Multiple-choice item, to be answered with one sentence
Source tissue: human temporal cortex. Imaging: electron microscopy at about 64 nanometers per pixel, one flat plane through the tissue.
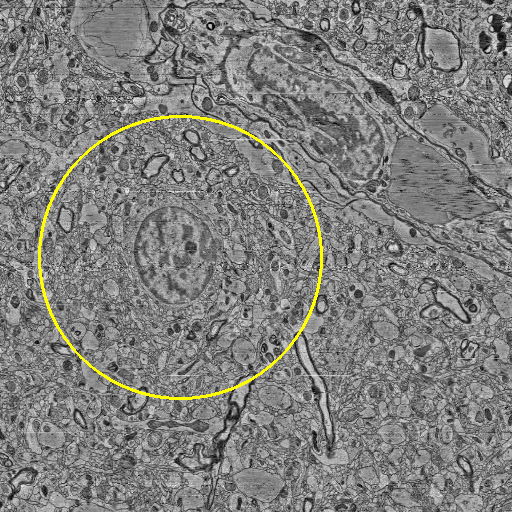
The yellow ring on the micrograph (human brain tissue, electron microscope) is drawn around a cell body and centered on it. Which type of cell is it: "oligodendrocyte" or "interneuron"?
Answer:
The ring is centered on an oligodendrocyte.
